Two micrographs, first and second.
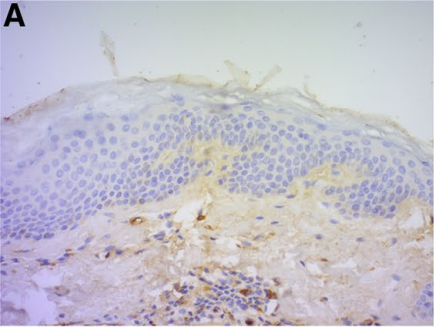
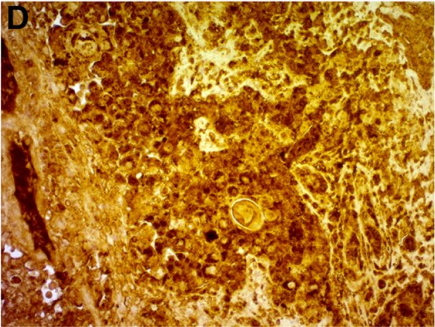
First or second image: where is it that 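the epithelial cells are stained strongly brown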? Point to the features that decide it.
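Second image: the crowded epithelial cells are deep brown throughout. First image: the epithelial cells show blue nuclei with almost no brown.
Answer: the second image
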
